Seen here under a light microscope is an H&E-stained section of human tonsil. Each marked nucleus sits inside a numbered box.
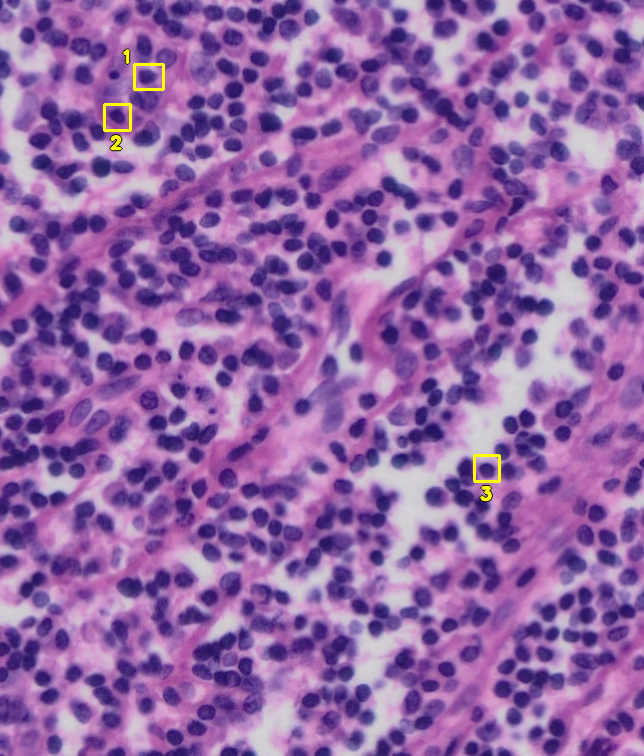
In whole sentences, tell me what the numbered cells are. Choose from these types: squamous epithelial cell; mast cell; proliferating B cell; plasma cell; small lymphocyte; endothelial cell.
Cells 1 and 2 are endothelial cells. Cell 3 is a small lymphocyte.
